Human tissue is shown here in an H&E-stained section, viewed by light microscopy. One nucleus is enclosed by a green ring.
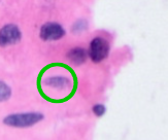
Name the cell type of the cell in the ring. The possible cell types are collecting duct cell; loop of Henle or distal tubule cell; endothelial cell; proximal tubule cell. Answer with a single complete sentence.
In short, the cell in the ring on this section is an endothelial cell.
